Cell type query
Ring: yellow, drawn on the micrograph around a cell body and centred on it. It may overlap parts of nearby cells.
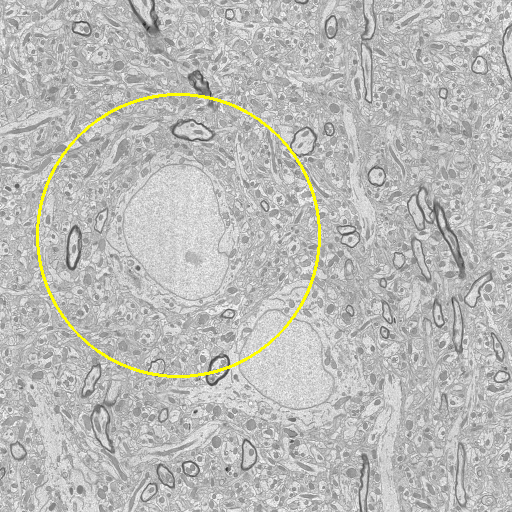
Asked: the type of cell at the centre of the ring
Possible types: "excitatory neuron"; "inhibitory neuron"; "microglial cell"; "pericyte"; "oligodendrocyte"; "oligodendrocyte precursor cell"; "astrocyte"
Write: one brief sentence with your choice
The ring marks an excitatory neuron.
